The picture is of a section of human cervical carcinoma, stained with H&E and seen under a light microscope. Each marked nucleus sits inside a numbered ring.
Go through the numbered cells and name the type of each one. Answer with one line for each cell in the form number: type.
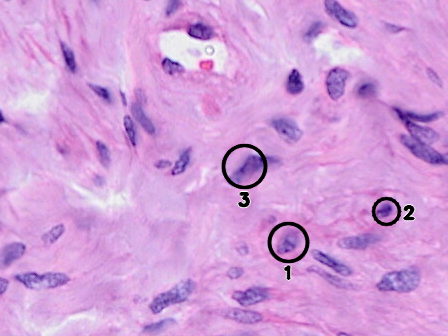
1: smooth muscle cell
2: smooth muscle cell
3: fibroblast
